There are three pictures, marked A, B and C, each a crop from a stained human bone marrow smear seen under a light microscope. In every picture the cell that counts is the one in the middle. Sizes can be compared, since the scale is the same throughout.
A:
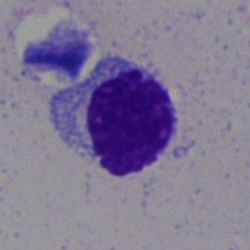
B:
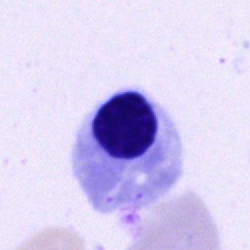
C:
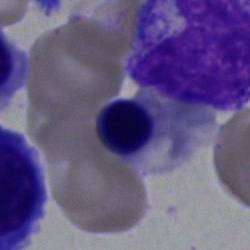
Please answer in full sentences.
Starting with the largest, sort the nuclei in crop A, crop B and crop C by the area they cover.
The order is A, B, C, beginning with the largest.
